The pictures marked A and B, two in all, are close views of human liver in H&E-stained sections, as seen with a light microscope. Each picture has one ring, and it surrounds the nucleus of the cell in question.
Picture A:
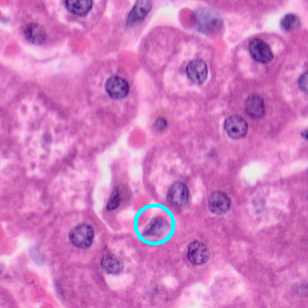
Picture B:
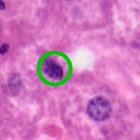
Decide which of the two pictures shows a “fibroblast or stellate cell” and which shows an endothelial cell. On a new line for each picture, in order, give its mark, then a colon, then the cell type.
A: endothelial cell
B: fibroblast or stellate cell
